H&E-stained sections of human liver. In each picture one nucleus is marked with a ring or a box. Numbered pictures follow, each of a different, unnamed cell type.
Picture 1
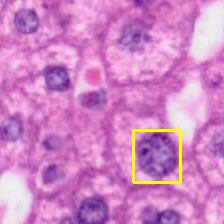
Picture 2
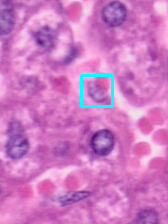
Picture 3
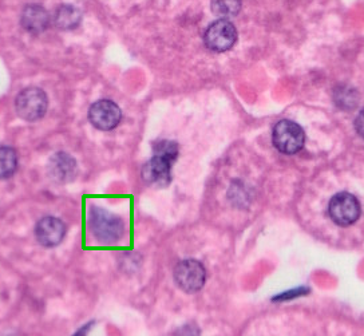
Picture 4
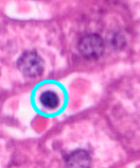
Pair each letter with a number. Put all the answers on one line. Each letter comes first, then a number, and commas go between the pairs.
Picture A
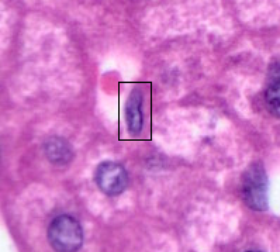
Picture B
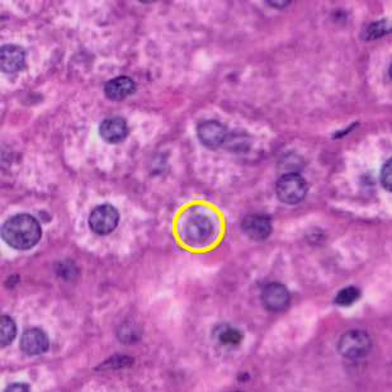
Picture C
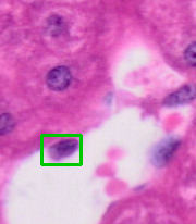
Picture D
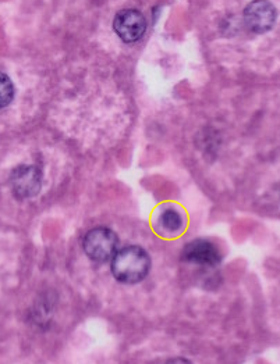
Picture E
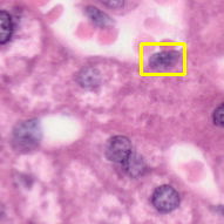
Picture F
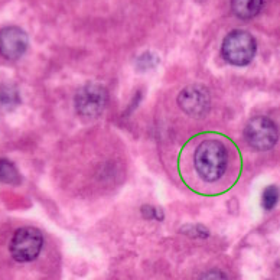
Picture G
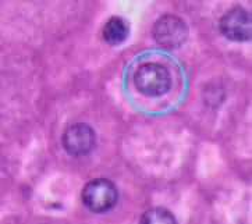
A 2, B 1, C 2, D 4, E 3, F 1, G 1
